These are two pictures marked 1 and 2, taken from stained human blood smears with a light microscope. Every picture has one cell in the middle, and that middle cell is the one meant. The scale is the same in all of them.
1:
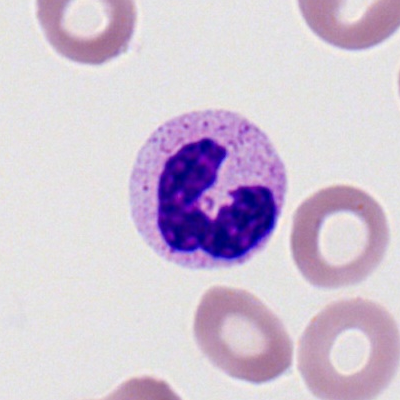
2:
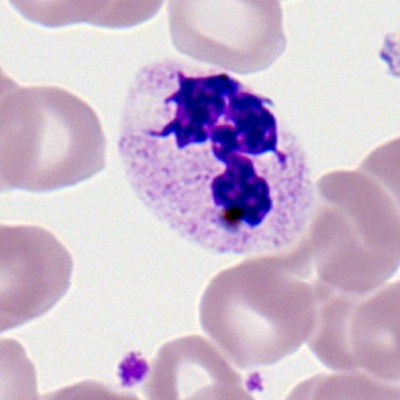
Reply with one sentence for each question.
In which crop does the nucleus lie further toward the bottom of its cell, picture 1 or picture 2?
Seen within its cell, the nucleus in picture 1 lies further toward the bottom.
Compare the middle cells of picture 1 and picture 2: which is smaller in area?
Smaller is the cell in picture 1, and the other is about 1.5 times as large in area.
